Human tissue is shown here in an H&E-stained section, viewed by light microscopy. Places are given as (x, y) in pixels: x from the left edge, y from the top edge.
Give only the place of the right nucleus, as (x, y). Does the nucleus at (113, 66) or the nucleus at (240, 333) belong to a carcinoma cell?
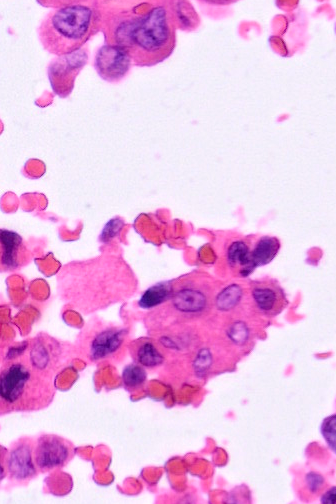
(113, 66)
